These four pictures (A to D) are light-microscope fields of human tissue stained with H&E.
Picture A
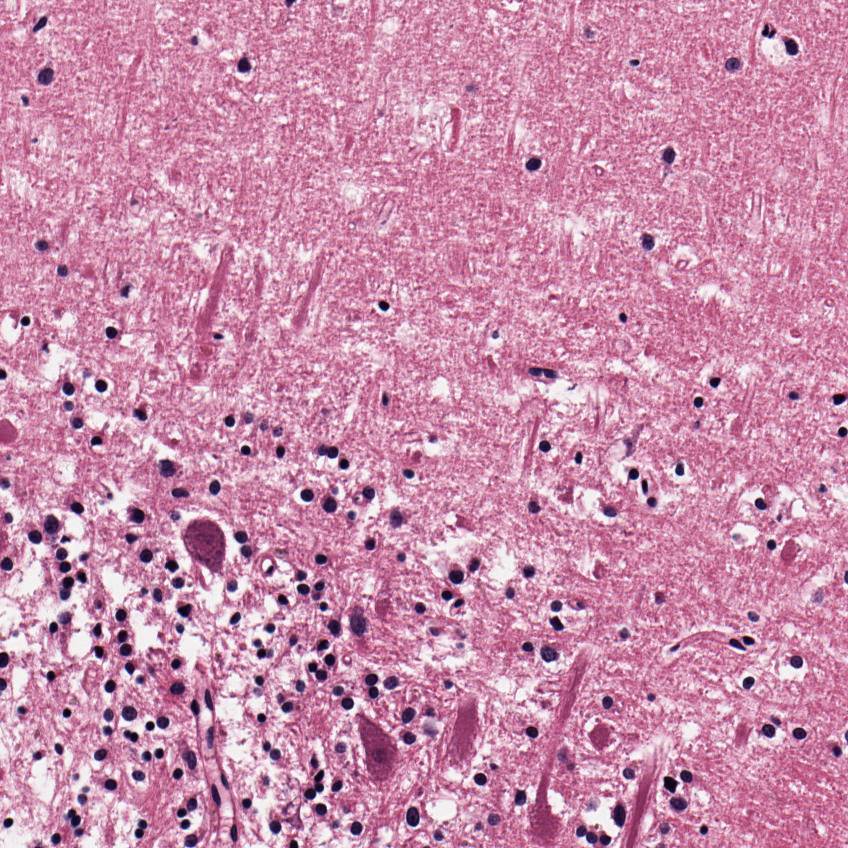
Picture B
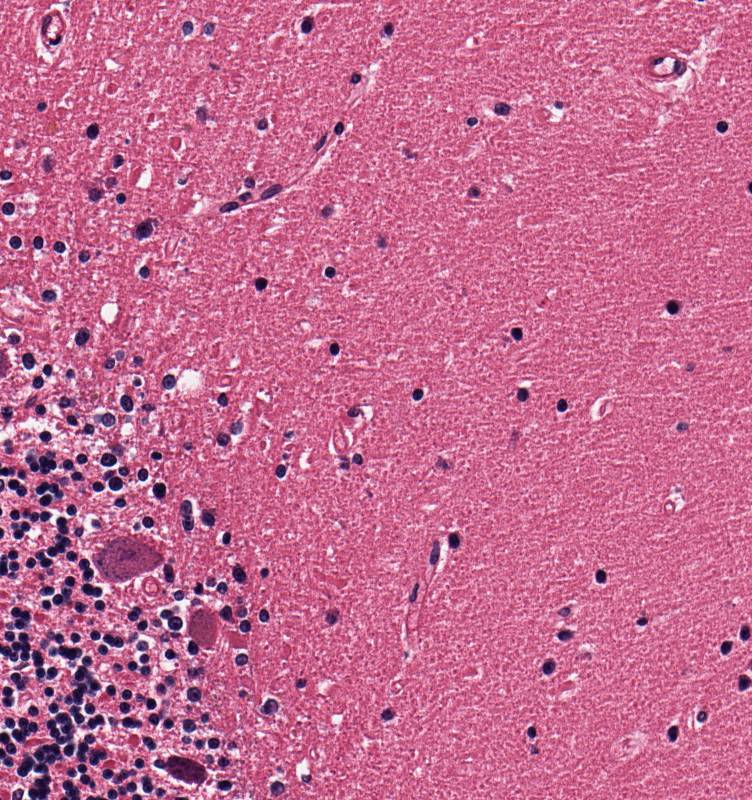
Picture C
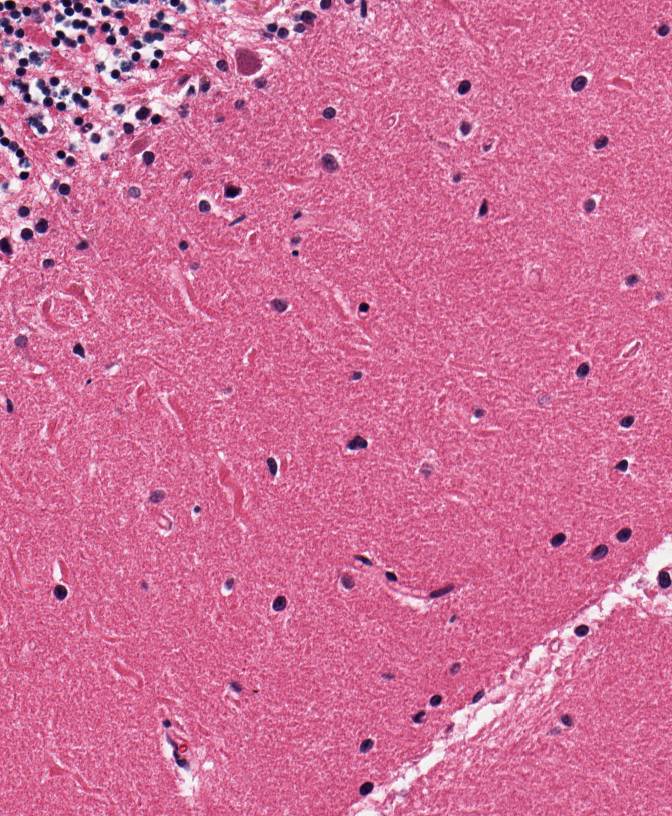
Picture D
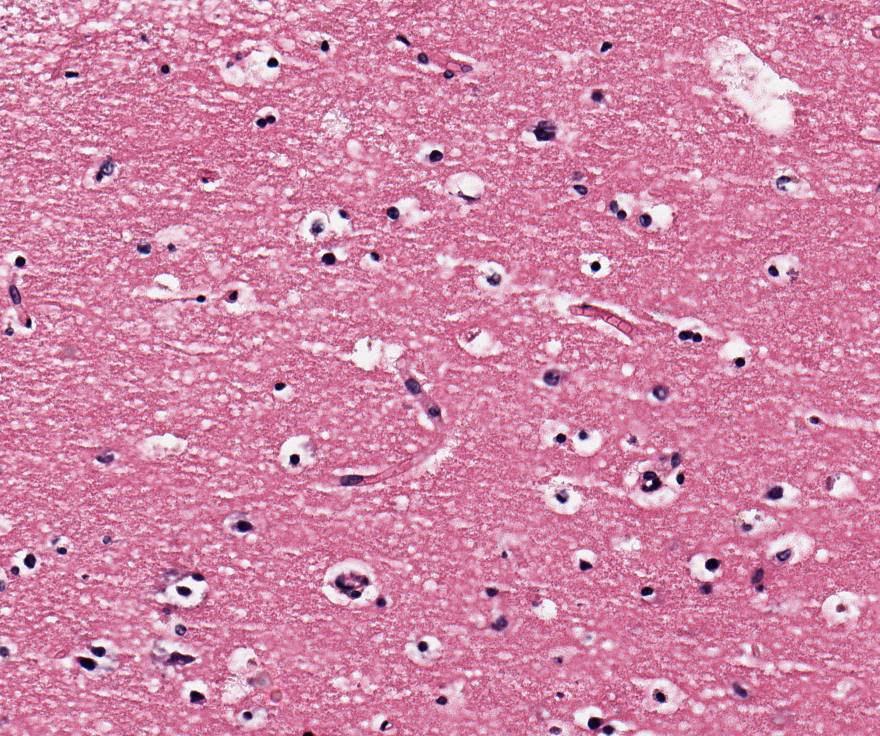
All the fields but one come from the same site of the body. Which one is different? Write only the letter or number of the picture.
D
